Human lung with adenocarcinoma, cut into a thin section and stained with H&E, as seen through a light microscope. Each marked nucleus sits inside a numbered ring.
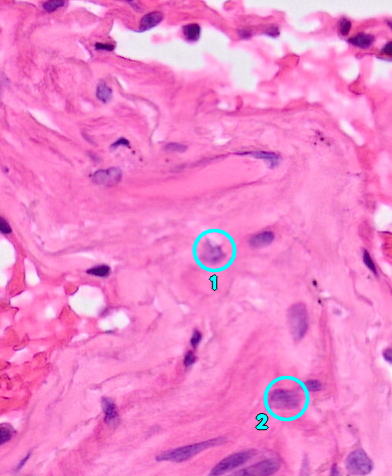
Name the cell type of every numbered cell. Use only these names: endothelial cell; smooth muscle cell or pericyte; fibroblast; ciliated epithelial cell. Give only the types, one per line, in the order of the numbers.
fibroblast
smooth muscle cell or pericyte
